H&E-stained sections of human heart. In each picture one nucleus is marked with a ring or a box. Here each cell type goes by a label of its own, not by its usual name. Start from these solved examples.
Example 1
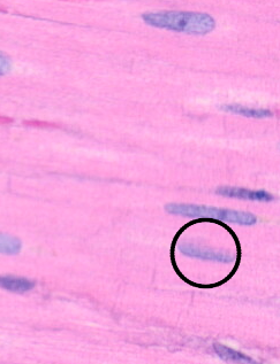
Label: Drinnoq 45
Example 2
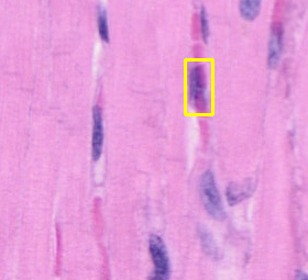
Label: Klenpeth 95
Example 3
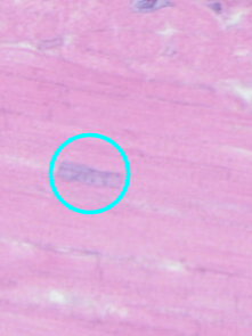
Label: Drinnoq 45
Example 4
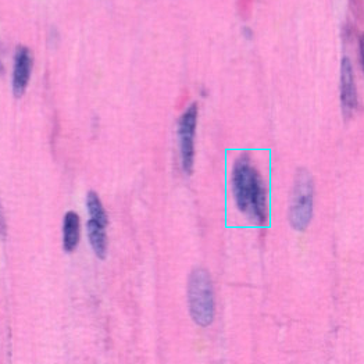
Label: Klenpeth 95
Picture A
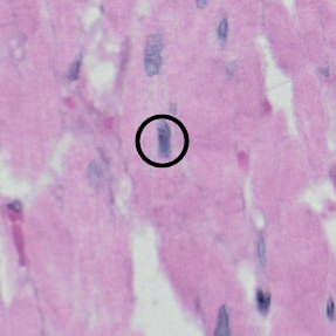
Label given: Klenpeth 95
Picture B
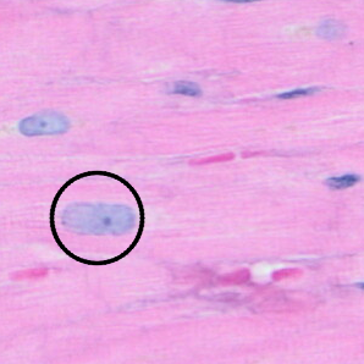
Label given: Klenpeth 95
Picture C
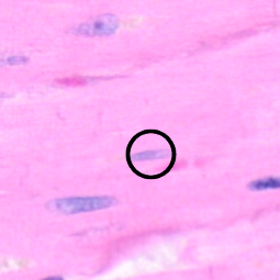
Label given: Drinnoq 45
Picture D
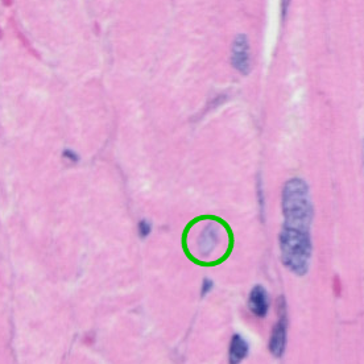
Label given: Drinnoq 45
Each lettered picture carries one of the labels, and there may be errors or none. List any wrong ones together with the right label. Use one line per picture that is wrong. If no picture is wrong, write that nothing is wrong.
B: change Klenpeth 95 to Drinnoq 45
